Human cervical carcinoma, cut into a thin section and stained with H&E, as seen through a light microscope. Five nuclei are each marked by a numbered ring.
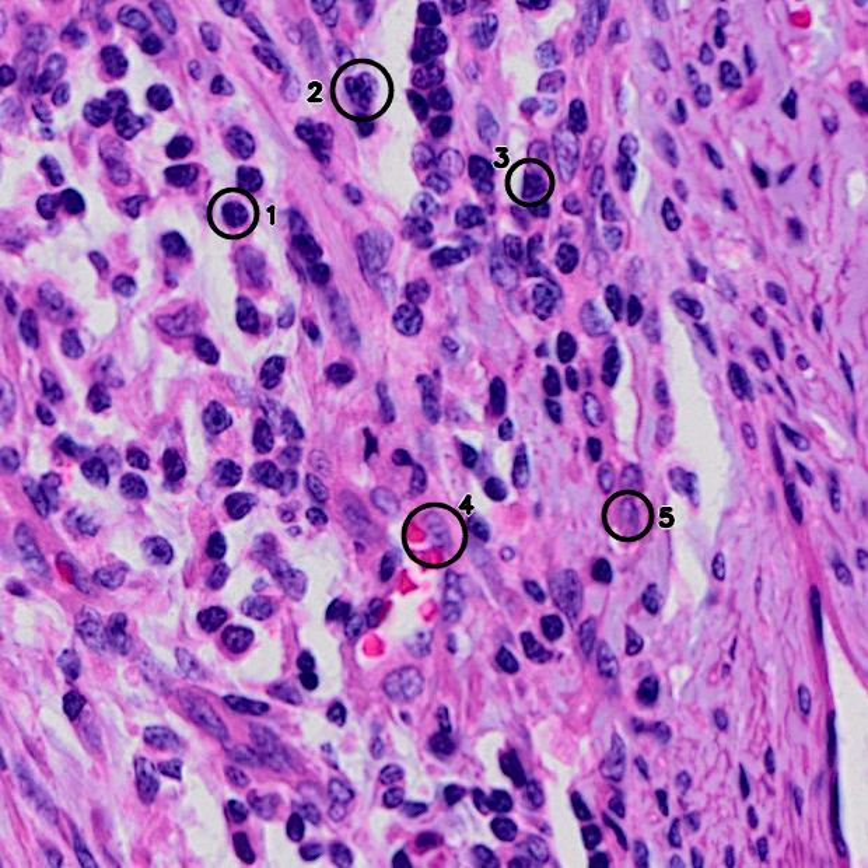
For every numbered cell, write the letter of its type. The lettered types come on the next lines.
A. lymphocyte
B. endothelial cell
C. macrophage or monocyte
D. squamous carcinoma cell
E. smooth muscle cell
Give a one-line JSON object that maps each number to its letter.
{"1": "A", "2": "A", "3": "A", "4": "B", "5": "B"}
